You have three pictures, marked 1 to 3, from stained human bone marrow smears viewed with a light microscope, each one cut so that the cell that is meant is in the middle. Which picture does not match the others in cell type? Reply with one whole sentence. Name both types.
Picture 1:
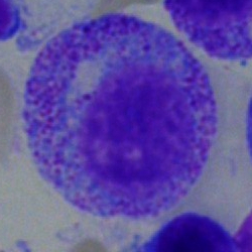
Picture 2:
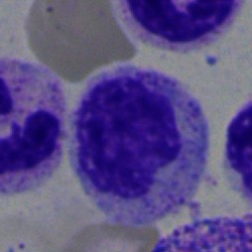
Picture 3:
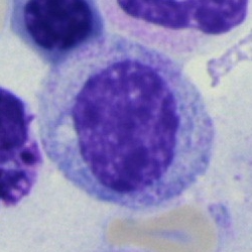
All pictures except 1 show myelocytes; picture 1 shows a promyelocyte.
